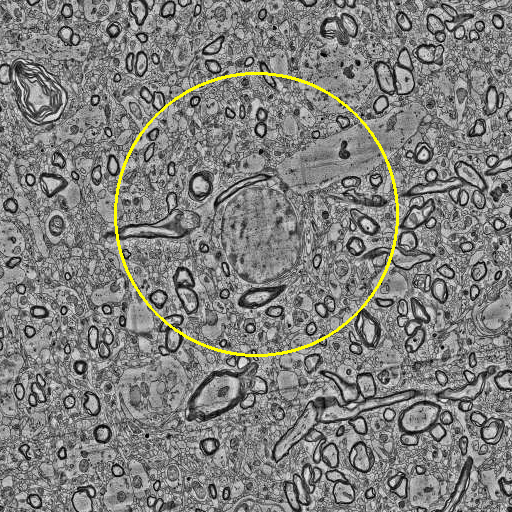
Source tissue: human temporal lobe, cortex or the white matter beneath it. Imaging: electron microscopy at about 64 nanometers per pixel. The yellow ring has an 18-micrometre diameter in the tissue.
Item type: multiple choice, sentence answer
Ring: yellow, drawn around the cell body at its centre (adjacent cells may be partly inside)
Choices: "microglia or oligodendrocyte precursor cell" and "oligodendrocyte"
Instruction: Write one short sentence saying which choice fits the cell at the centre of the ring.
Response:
This ring is drawn around a microglial cell or oligodendrocyte precursor cell.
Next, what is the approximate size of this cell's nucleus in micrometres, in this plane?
About 6 by 5 micrometres in this plane.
